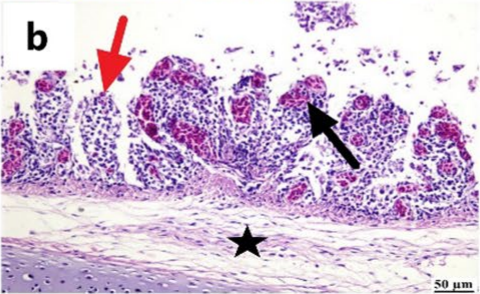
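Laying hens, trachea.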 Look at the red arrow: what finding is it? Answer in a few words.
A: Mucosal sloughing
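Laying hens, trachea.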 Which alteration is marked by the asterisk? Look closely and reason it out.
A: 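Extensive edema. The tissue beneath the mucosa is pale, loose and widely separated into thin fibres. Few cells lie in this pale, expanded zone above the cartilage.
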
